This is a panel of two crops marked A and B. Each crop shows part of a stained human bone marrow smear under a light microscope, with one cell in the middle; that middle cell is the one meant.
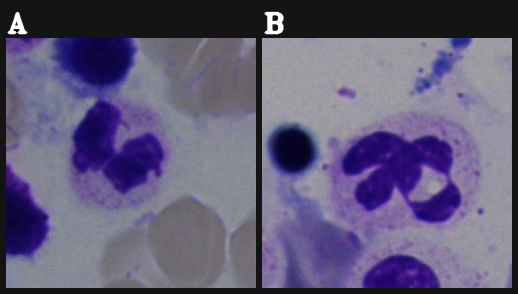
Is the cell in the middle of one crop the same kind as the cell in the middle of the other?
yes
